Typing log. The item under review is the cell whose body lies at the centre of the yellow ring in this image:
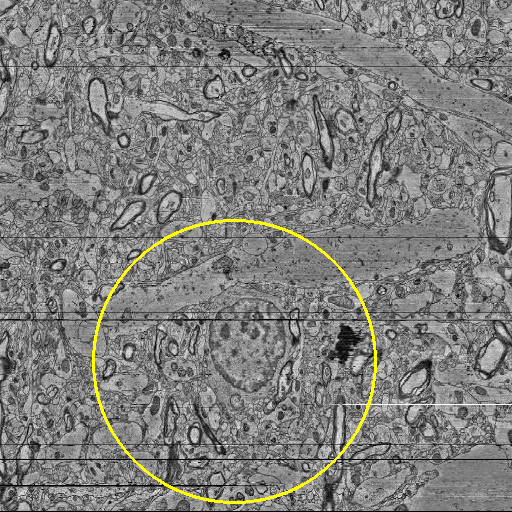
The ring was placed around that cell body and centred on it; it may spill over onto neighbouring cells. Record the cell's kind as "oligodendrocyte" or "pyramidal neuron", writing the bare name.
oligodendrocyte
